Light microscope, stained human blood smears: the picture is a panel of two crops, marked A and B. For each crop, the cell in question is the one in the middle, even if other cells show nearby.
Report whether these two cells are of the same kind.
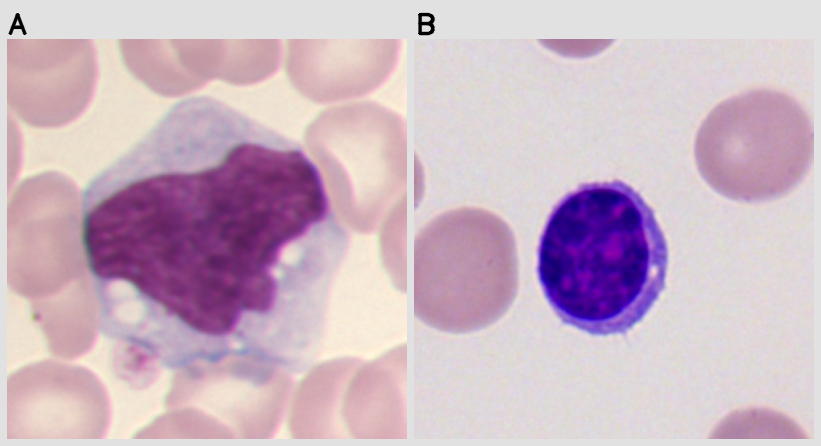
no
